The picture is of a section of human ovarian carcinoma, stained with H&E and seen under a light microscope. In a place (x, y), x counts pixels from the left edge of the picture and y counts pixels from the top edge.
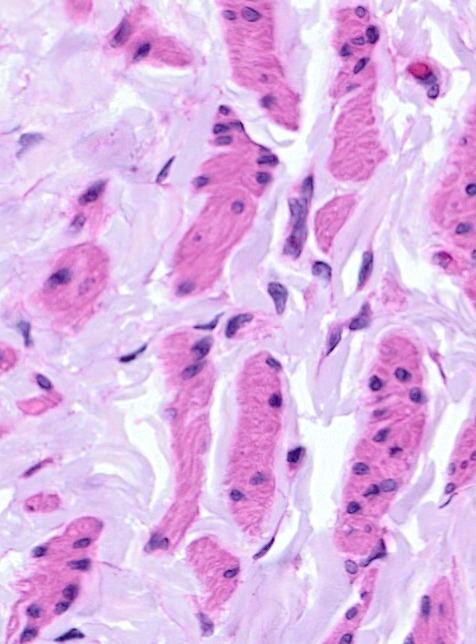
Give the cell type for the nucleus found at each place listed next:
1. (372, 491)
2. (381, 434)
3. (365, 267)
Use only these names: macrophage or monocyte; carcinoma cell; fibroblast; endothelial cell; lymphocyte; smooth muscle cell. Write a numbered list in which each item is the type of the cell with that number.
1. smooth muscle cell
2. smooth muscle cell
3. fibroblast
